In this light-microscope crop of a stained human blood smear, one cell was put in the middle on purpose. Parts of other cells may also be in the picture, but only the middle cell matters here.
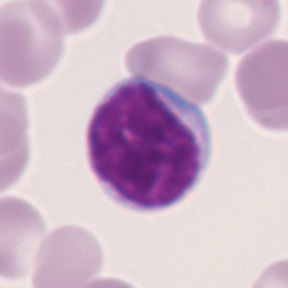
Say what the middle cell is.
large granular lymphocyte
